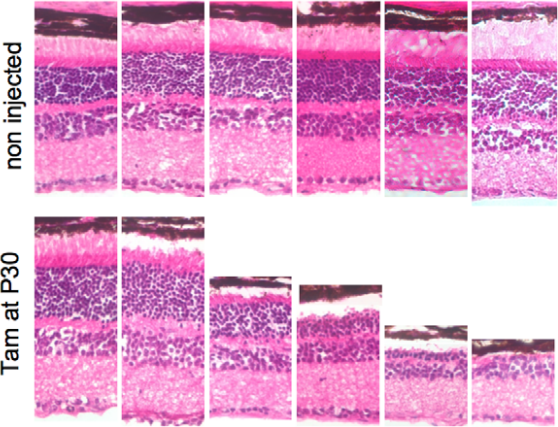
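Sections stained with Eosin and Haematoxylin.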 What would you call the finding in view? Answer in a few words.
Photoreceptor cell degeneration.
